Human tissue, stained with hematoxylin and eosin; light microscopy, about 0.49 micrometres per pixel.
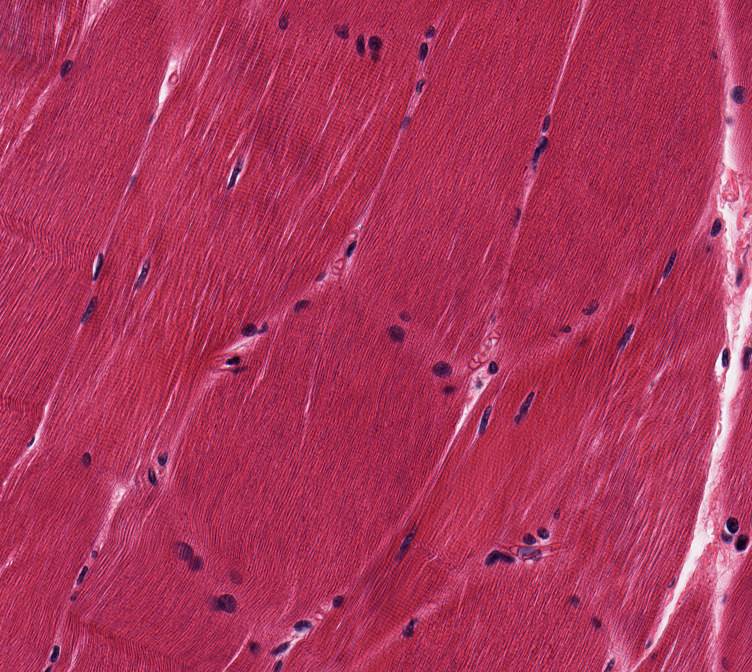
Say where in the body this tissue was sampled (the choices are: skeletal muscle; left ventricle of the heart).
skeletal muscle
